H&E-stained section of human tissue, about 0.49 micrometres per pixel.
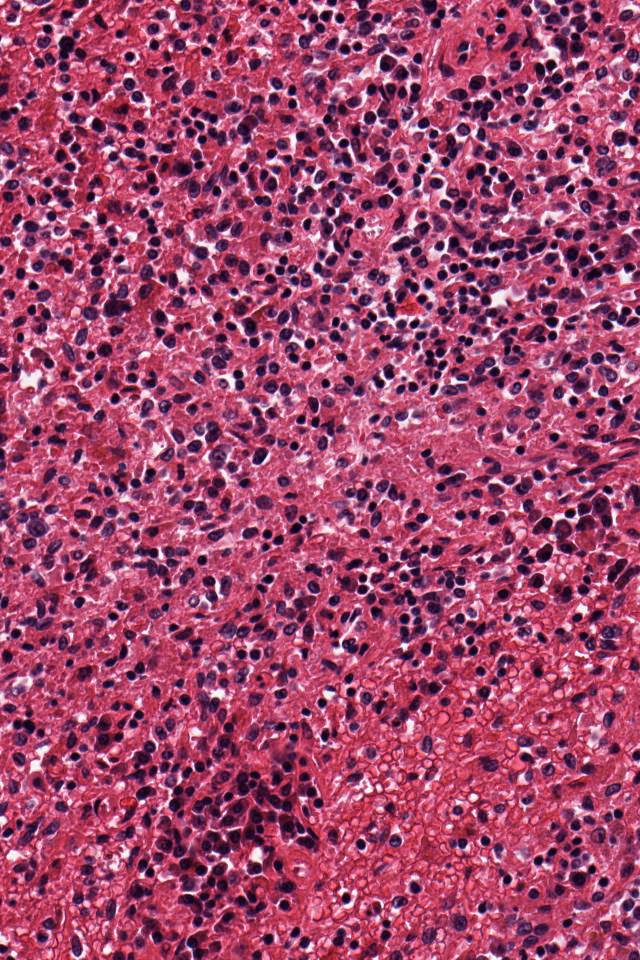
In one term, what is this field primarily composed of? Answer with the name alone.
red pulp of the spleen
